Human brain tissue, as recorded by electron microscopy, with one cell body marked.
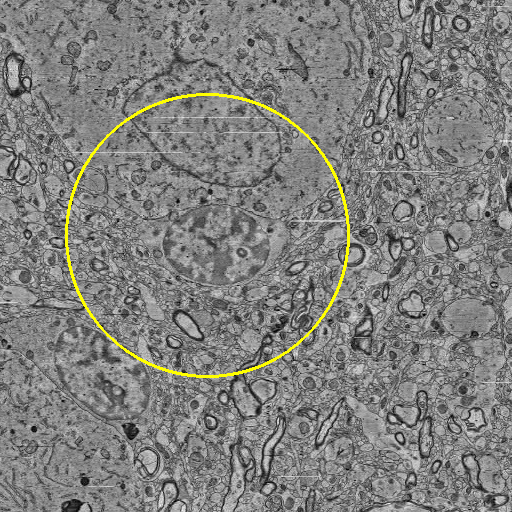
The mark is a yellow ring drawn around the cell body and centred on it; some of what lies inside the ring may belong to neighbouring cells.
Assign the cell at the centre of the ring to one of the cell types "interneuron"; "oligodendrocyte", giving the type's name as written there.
oligodendrocyte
